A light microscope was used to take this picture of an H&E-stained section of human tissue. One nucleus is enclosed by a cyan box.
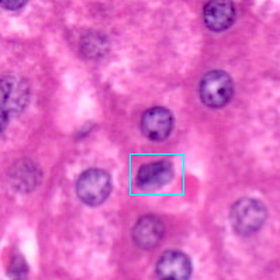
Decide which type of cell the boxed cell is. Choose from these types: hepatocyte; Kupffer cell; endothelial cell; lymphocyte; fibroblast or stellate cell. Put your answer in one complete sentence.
In cellular terms, the boxed cell is an endothelial cell.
